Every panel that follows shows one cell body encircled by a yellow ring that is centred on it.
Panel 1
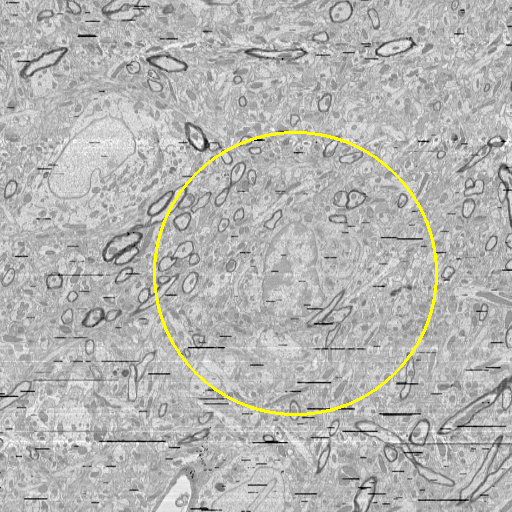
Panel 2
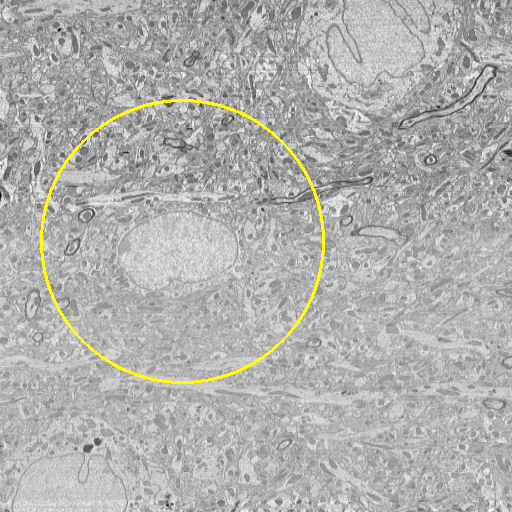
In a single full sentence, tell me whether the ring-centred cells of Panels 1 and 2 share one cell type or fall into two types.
In Panel 1 and Panel 2, the cells at the ring centres fall into two types.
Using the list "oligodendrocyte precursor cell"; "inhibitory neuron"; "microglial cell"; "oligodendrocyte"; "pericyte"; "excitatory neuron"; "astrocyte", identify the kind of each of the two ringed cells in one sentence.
The first is an oligodendrocyte and the second is an astrocyte.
